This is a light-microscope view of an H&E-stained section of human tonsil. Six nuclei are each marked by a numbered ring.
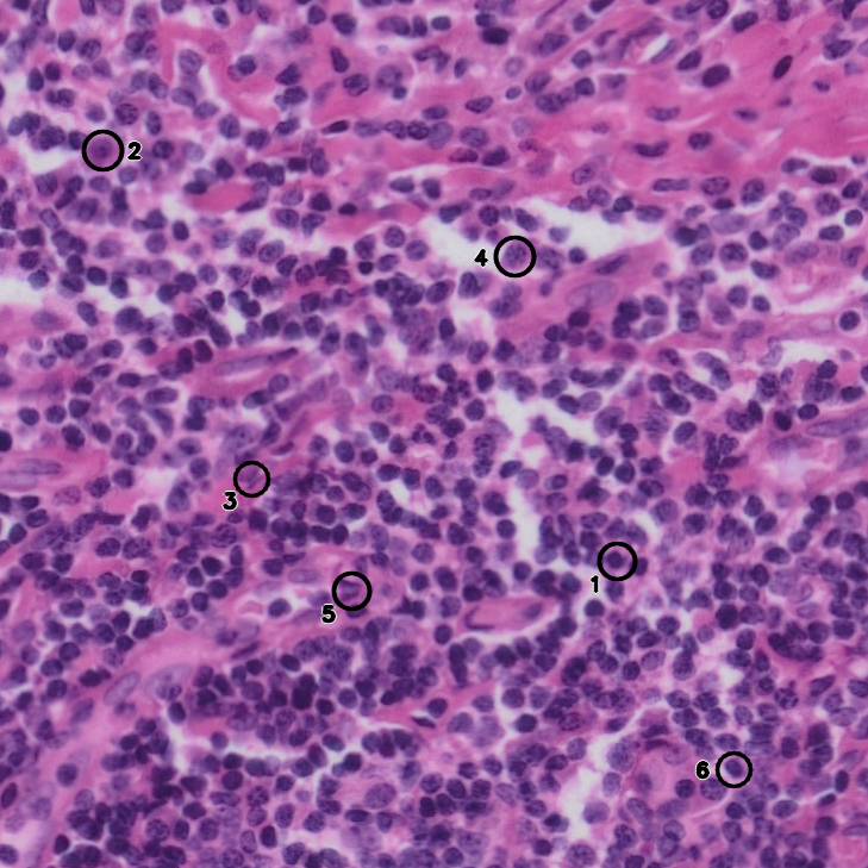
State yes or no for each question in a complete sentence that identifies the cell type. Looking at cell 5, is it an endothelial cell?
Yes, as for number 5, the cell is an endothelial cell.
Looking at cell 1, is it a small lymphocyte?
Yes, the cell pointed out as number 1 is a small lymphocyte.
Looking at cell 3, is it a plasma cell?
No, number 3 points to an endothelial cell and not to a plasma cell.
